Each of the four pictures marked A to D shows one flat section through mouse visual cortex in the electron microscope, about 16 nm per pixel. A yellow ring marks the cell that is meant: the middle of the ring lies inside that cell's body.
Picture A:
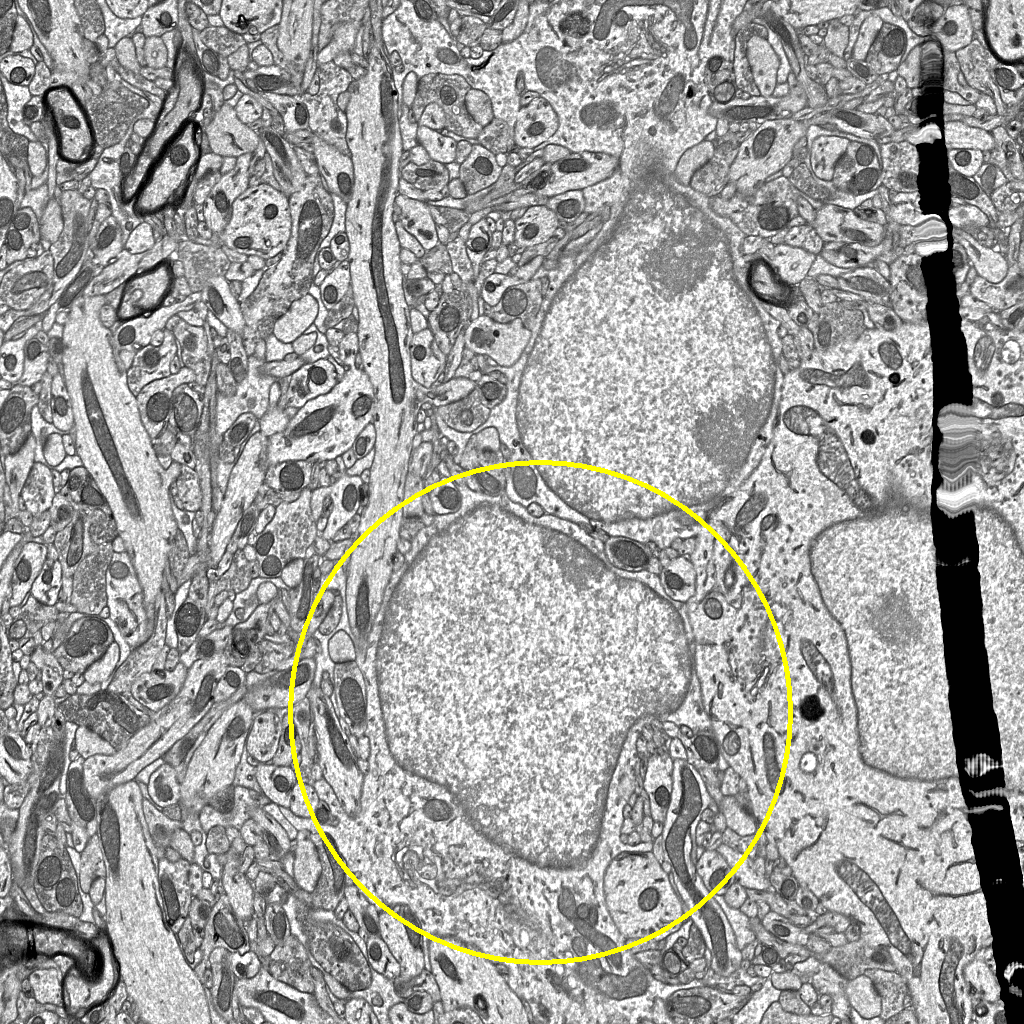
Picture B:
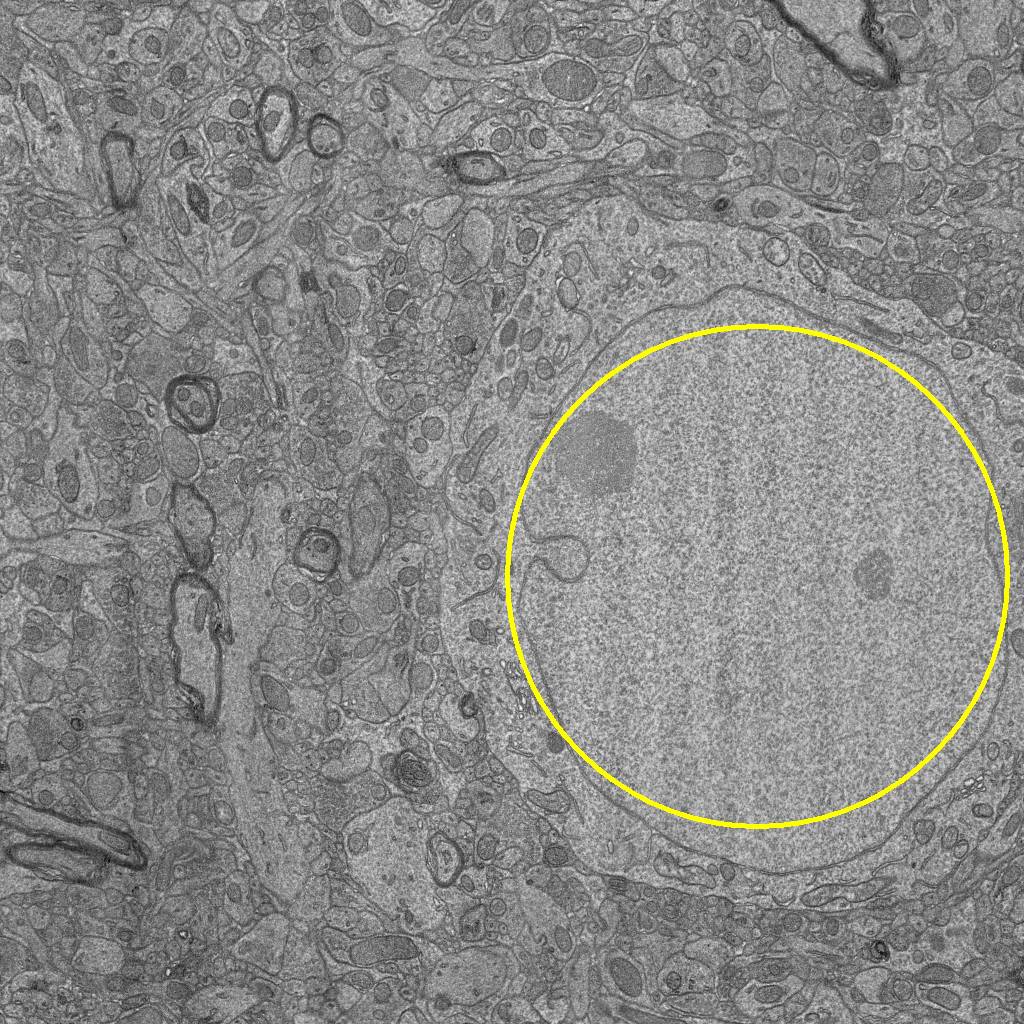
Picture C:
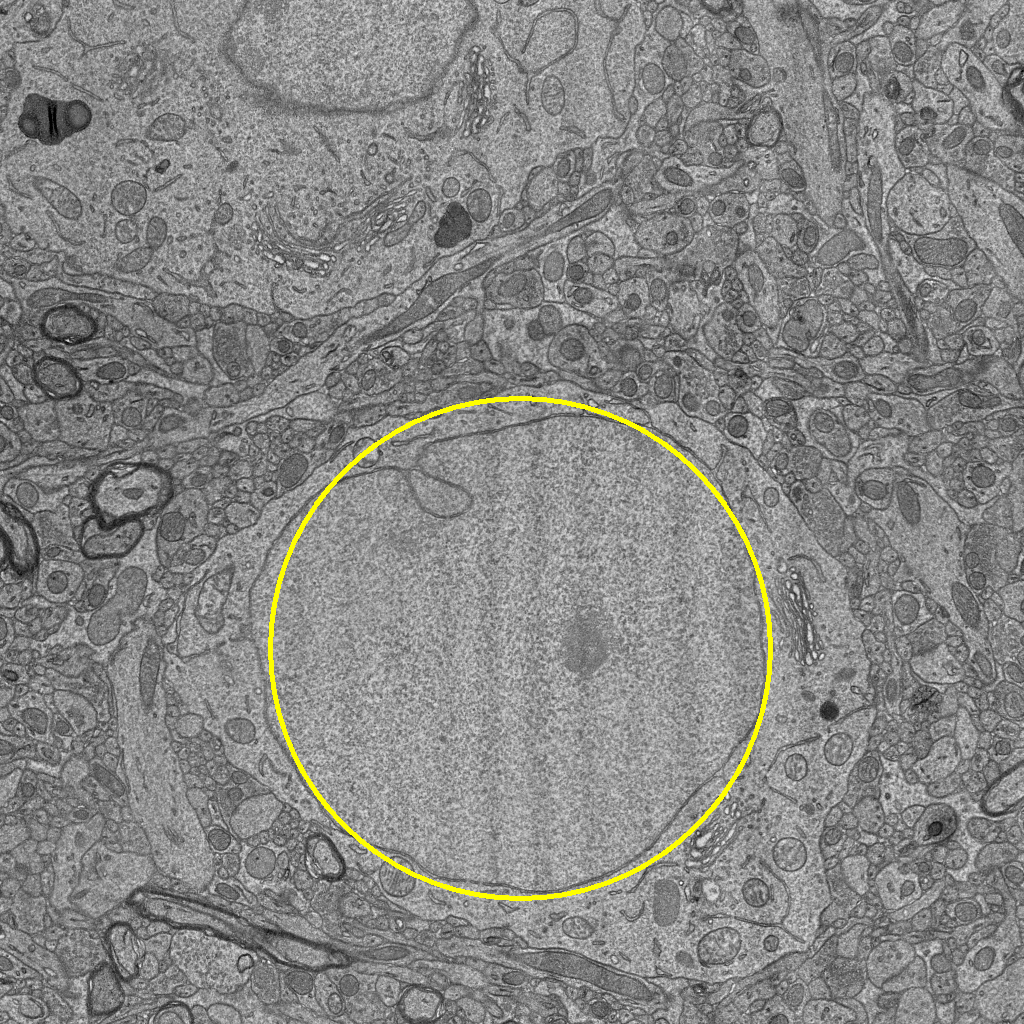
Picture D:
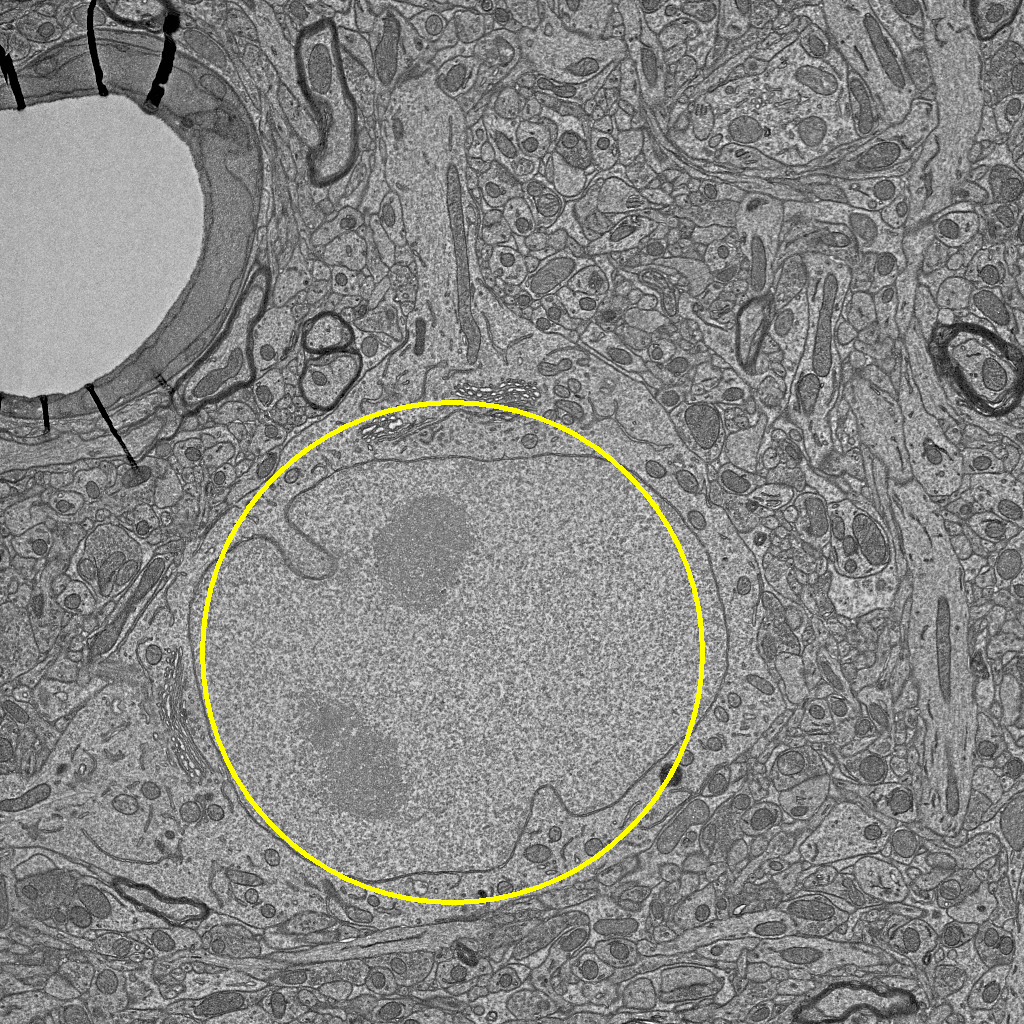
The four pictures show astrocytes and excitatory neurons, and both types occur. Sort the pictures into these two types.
Picture A shows an astrocyte, while pictures B, C and D show excitatory neurons.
